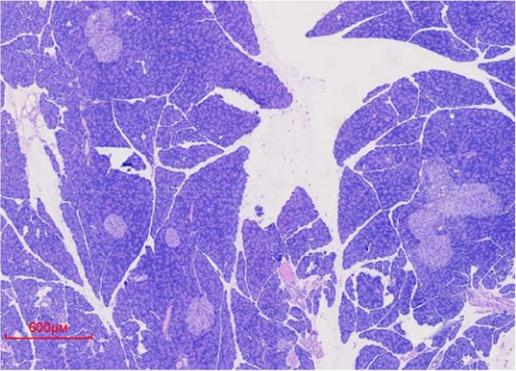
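Low-power view of pancreatic tissue showing purple-staining exocrine lobules containing several paler islets. The lobules are large and separated by thin pale septa and a broad clear interlobular space near the top centre. Scattered throughout the lobules are round to oval patches that stain lighter and more lilac than the surrounding parenchyma; these islets range from small to fairly large, with a large irregular one at the right. A few small pink-stained vessels lie in the septa. Individual cells cannot be distinguished at this magnification, only the lobular arrangement.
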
